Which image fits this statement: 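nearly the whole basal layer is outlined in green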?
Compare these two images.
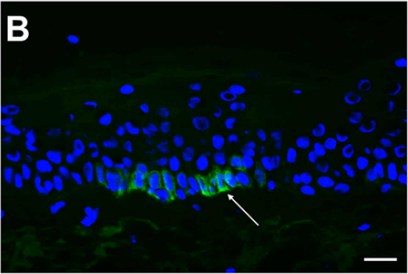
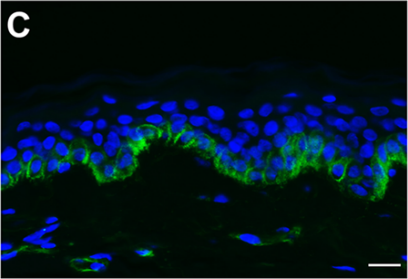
The second image.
